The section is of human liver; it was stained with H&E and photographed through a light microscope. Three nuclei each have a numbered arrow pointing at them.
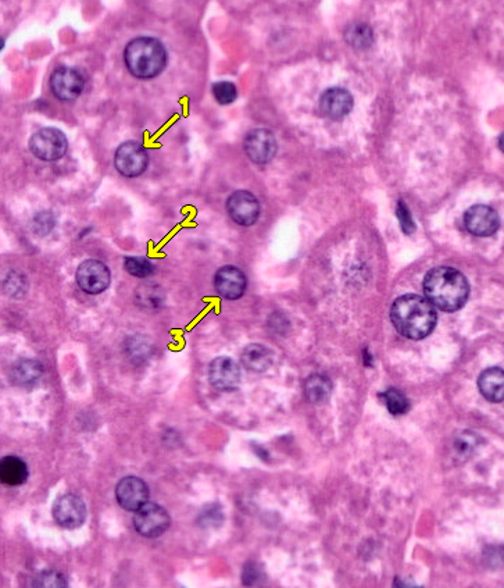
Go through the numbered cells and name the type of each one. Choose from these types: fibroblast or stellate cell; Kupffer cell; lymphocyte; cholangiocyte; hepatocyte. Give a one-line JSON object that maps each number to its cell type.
{"1": "hepatocyte", "2": "fibroblast or stellate cell", "3": "hepatocyte"}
